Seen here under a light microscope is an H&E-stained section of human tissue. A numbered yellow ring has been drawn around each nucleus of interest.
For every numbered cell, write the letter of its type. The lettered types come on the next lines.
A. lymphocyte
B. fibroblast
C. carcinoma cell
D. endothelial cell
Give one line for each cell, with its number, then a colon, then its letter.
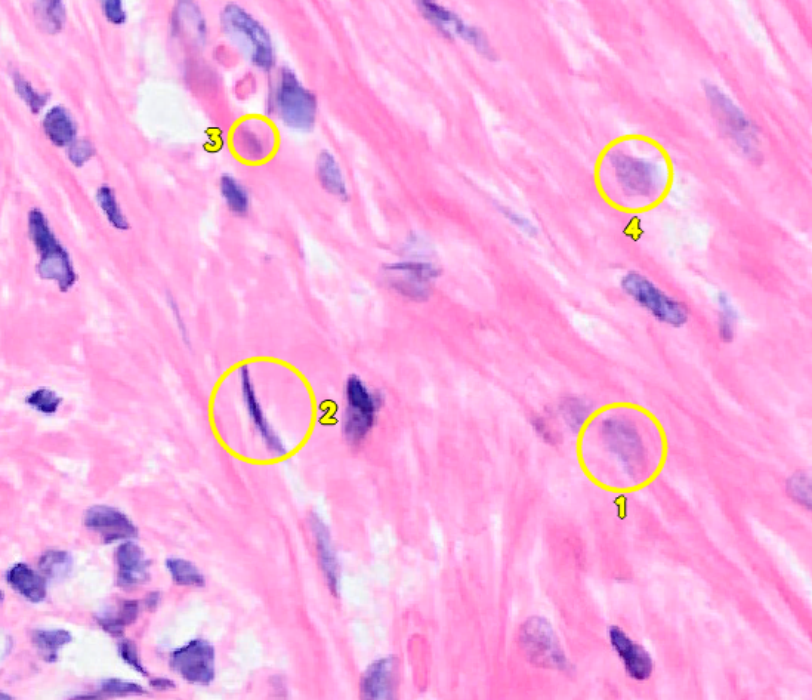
1: B
2: B
3: D
4: B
